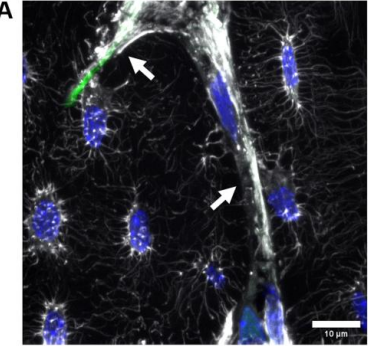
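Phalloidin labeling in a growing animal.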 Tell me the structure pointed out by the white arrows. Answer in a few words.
blood vessels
